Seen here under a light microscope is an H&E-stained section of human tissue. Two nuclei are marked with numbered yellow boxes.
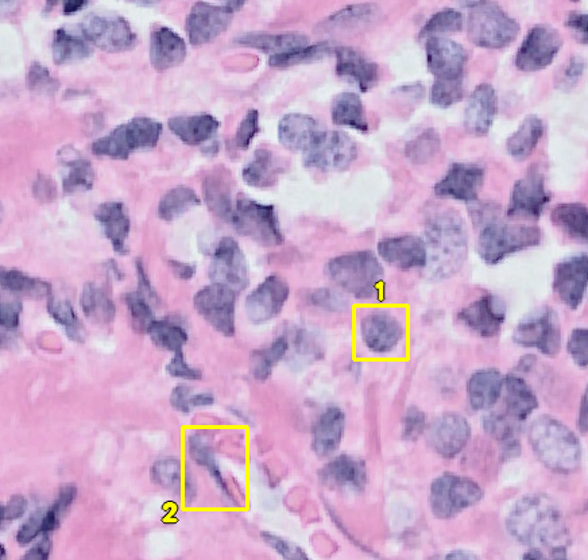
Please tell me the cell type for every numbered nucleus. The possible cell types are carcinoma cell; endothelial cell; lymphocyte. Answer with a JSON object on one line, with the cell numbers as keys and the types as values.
{"1": "carcinoma cell", "2": "endothelial cell"}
